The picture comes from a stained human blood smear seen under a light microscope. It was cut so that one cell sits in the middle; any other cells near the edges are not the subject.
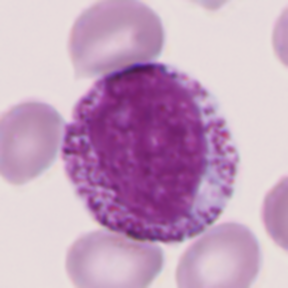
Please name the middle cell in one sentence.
Positioned in the middle of the crop is a myelocyte.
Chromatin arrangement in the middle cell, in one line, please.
Heads up, the chromatin is fine with no coarse clumps in it.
